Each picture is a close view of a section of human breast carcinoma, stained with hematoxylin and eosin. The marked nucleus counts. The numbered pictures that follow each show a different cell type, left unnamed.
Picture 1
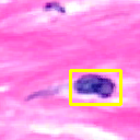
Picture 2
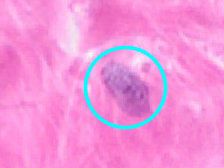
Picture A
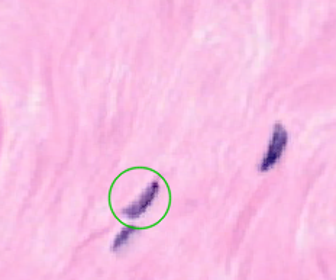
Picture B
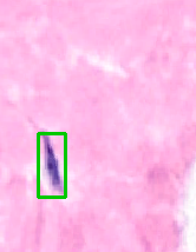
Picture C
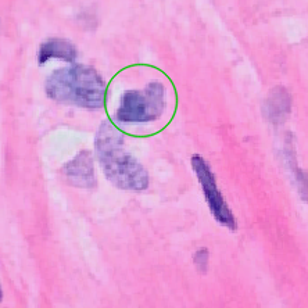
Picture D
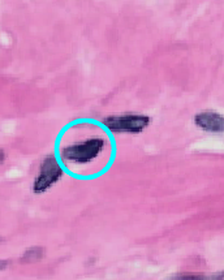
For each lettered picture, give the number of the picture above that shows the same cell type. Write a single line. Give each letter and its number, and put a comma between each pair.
A 2, B 2, C 1, D 1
